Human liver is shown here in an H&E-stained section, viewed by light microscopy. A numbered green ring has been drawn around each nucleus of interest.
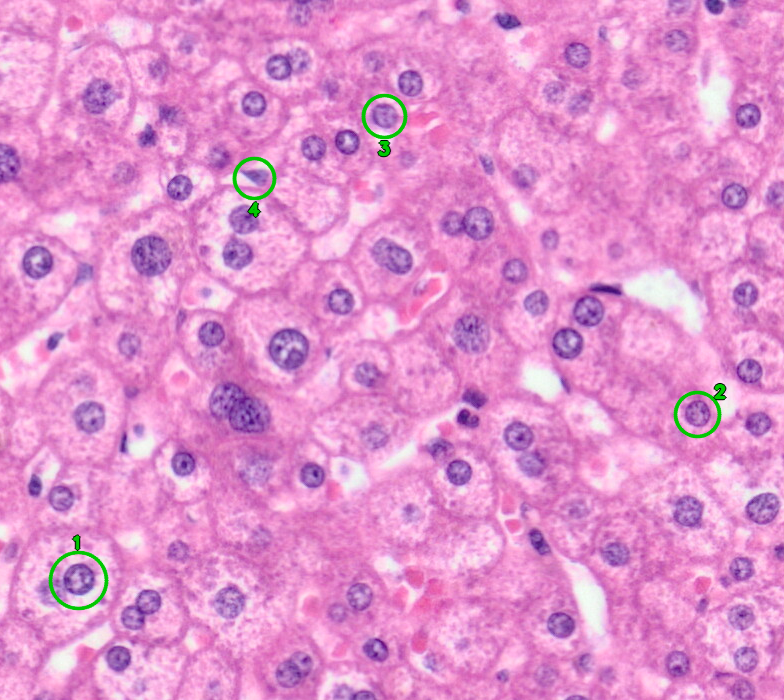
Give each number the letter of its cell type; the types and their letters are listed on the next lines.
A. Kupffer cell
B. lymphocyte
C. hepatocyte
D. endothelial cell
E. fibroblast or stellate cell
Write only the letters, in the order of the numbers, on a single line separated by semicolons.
C; C; C; D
